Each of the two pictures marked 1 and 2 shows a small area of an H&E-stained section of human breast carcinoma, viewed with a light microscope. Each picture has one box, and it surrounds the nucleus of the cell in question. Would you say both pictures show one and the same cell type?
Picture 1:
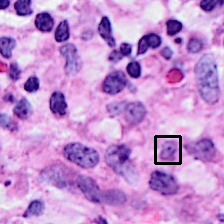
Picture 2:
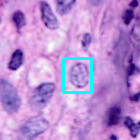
yes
